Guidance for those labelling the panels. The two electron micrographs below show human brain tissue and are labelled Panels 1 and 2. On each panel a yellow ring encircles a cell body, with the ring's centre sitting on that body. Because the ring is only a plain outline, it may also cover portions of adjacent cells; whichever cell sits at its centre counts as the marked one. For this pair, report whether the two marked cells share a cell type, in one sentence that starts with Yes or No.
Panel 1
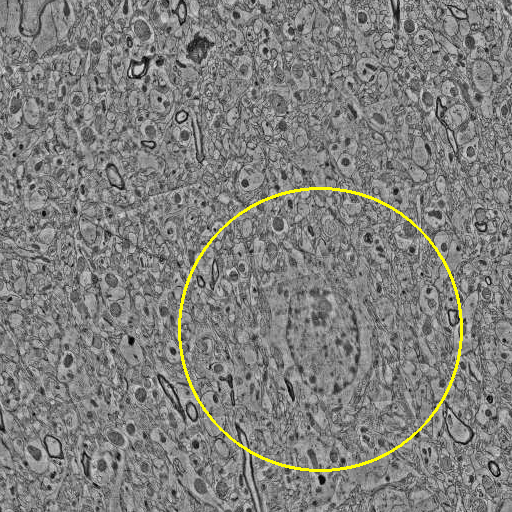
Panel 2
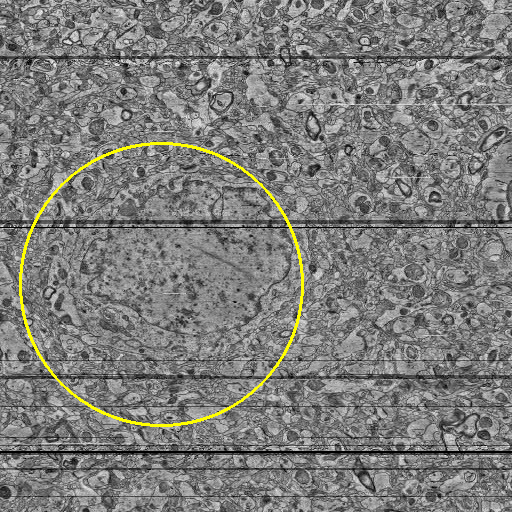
No, in Panel 1 and Panel 2 the marked cells at the ring centres are of two types.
